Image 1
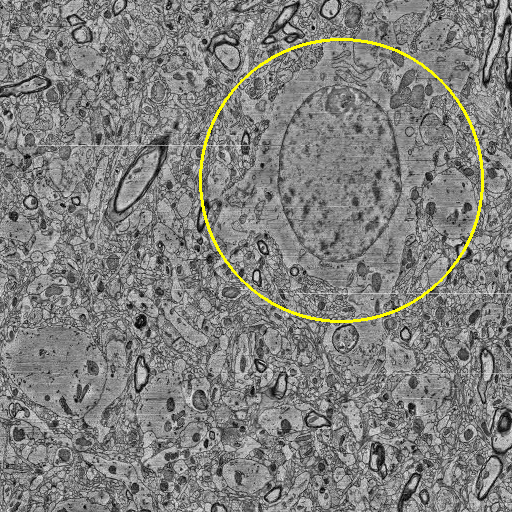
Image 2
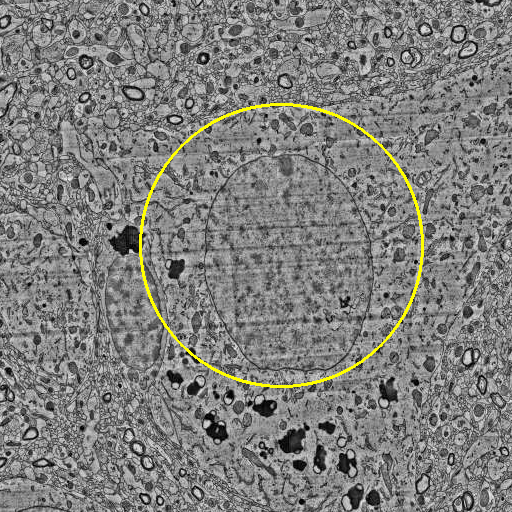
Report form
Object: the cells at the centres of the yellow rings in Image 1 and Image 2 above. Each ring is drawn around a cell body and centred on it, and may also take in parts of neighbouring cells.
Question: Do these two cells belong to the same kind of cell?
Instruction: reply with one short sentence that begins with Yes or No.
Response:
No, they belong to two kinds of cell.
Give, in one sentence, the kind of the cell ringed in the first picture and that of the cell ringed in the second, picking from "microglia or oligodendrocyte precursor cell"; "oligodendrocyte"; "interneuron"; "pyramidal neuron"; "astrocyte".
For the first picture it is an astrocyte; for the second, a pyramidal neuron.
